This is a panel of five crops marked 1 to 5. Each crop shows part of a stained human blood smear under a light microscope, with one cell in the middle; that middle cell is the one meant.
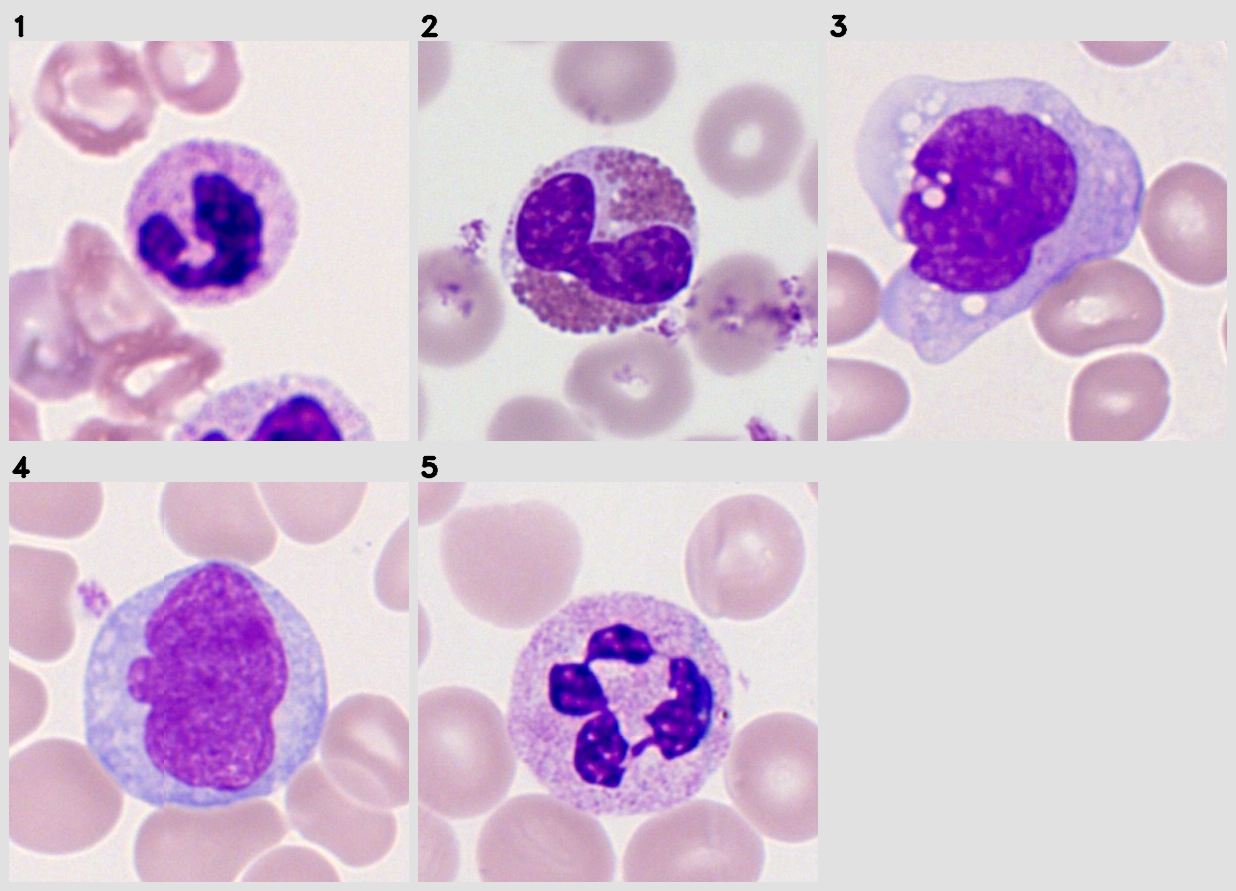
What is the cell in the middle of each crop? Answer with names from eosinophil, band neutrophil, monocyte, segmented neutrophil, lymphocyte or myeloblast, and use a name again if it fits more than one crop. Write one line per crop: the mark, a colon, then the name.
1: segmented neutrophil
2: eosinophil
3: monocyte
4: monocyte
5: segmented neutrophil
